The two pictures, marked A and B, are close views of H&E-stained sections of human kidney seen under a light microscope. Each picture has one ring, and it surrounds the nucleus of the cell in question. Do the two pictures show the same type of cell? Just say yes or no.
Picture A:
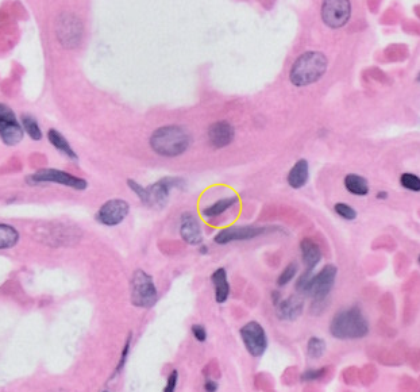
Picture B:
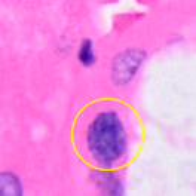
no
